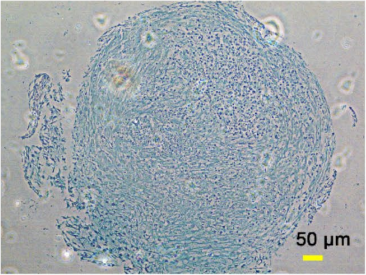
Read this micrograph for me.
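The cells are small and densely packed throughout the mass, with flatter, elongated cells lying along its rim. A few loose cells and fragments lie outside the mass.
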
